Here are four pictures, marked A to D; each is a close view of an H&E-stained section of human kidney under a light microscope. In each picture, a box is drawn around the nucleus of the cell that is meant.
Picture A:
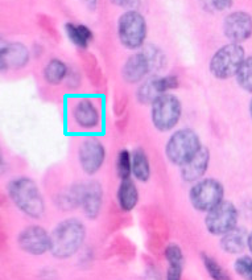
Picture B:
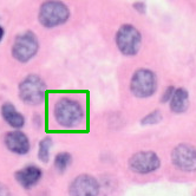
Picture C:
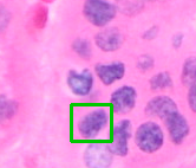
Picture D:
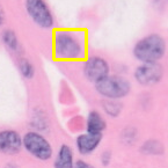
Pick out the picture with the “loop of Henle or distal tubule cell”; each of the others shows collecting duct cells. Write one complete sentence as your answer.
The picture with the “loop of Henle or distal tubule cell” is B.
